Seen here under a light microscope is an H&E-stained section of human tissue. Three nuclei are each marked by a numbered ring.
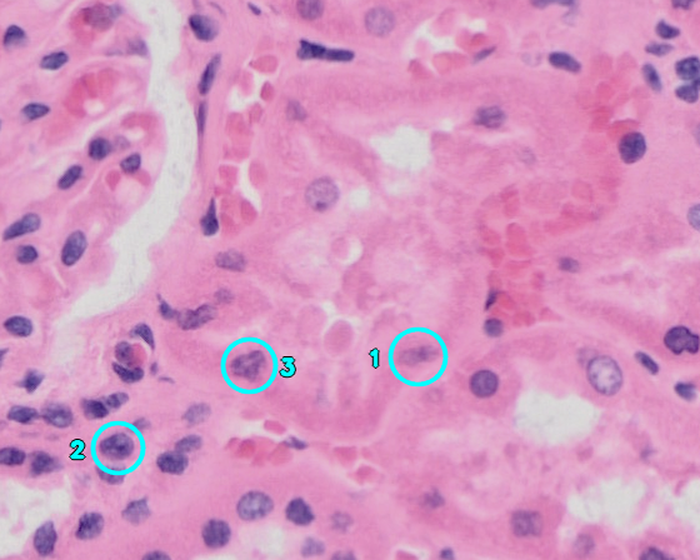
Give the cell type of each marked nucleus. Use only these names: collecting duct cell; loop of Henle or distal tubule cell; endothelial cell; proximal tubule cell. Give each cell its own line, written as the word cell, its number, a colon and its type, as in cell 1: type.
cell 1: proximal tubule cell
cell 2: loop of Henle or distal tubule cell
cell 3: proximal tubule cell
